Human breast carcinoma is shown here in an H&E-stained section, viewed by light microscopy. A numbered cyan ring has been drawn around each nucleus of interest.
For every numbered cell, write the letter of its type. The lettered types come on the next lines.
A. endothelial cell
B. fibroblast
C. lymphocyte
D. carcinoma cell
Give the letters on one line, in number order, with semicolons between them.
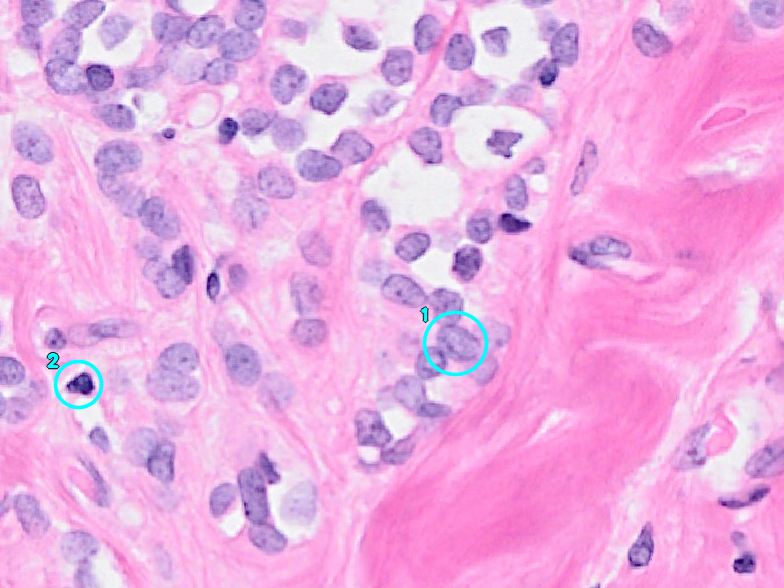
D; C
